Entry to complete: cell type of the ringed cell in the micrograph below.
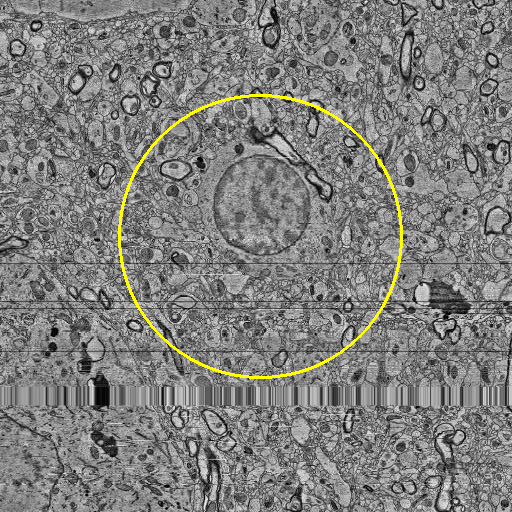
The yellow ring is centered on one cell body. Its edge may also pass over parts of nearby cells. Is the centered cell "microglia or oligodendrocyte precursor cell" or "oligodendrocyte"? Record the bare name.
oligodendrocyte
